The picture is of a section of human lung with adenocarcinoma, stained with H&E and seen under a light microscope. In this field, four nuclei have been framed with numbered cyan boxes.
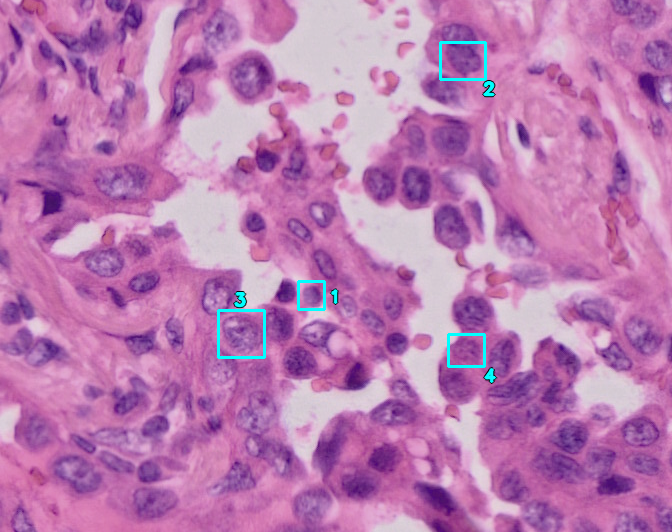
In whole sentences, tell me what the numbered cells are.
Cell 1 is a lymphocyte. Cells 2, 3 and 4 are carcinoma cells.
